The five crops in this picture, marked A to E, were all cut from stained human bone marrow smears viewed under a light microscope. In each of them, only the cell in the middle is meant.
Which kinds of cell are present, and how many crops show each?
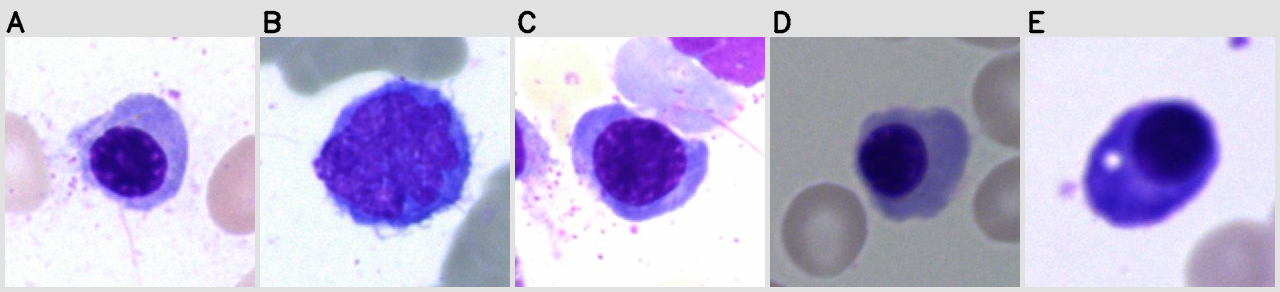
erythroblast: 3
blast: 1
plasma cell: 1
